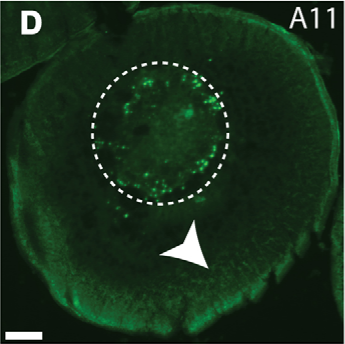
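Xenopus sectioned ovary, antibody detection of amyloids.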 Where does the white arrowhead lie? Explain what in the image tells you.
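Vegetal hemisphere. The arrowhead points to one half of the round cell. That half of the cytoplasm appears more brightly stained than the opposite half.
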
